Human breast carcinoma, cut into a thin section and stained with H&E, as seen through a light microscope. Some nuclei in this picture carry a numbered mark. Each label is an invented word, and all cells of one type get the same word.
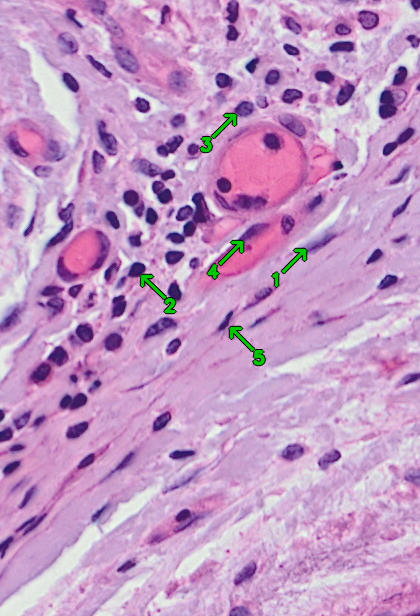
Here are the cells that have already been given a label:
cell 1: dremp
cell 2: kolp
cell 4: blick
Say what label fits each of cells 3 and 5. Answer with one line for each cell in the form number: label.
3: kolp
5: dremp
